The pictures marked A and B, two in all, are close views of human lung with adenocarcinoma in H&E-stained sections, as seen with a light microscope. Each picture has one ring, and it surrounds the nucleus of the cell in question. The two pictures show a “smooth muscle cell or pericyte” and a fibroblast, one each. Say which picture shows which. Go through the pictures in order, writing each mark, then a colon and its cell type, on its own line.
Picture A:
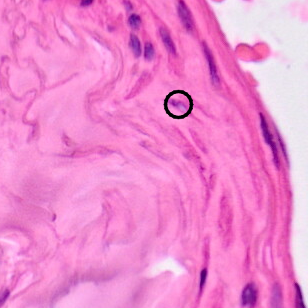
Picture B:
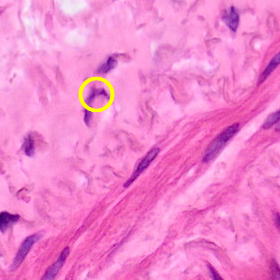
A: smooth muscle cell or pericyte
B: fibroblast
